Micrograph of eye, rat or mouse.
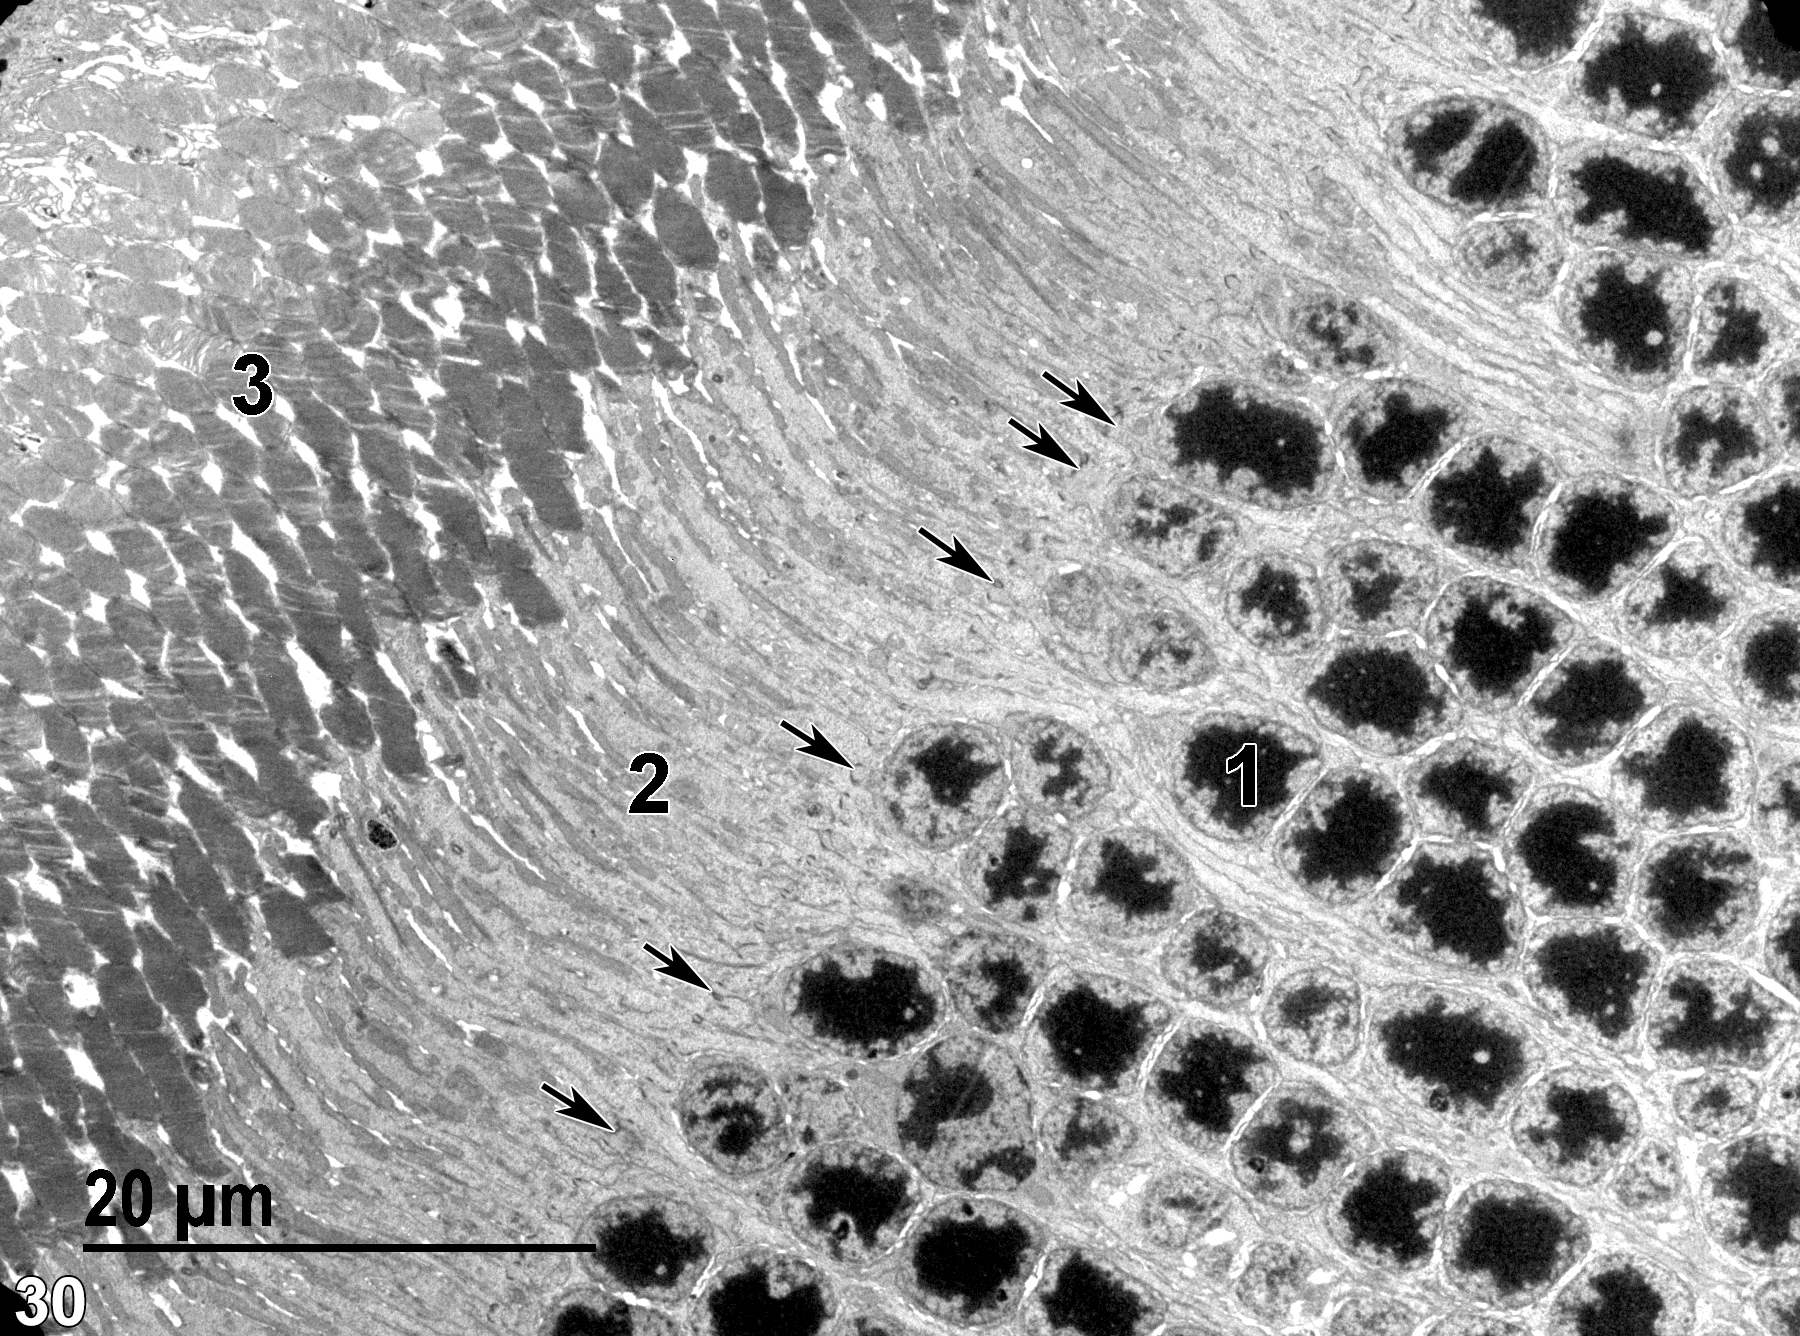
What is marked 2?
Inner segments of rods and cones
